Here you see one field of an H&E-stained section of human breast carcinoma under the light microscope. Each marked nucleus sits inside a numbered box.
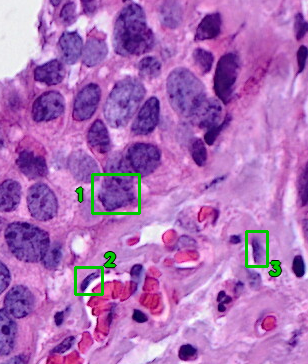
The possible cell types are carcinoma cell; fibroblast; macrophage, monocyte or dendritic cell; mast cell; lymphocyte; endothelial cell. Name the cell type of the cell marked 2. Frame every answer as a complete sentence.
The cell pointed out as number 2 is an endothelial cell.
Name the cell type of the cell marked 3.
Recognised here as a fibroblast is the cell numbered 3.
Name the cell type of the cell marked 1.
The cell numbered 1 has been identified as a carcinoma cell.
